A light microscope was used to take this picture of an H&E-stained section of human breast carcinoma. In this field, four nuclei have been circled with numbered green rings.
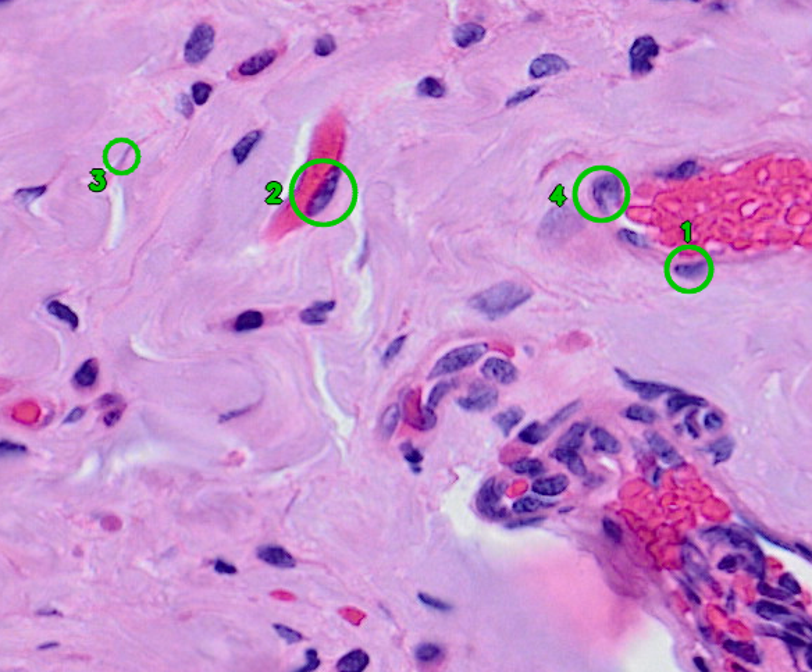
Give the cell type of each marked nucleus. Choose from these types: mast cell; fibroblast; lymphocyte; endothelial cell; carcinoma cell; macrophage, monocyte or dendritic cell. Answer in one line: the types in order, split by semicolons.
endothelial cell; endothelial cell; fibroblast; endothelial cell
